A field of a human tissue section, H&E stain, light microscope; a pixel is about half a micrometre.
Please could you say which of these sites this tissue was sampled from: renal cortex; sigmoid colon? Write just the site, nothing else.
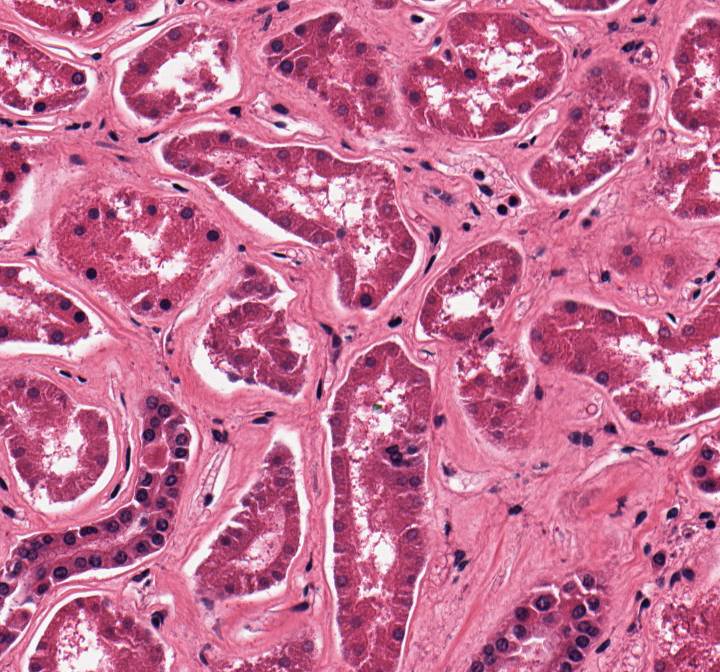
renal cortex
